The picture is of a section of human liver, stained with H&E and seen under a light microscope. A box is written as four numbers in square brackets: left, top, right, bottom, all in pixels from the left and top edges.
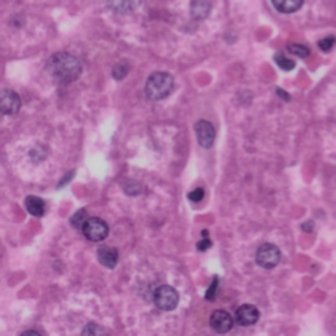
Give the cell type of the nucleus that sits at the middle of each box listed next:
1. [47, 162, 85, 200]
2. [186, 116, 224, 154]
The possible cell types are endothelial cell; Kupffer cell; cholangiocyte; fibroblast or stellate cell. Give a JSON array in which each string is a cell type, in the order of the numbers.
["endothelial cell", "Kupffer cell"]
